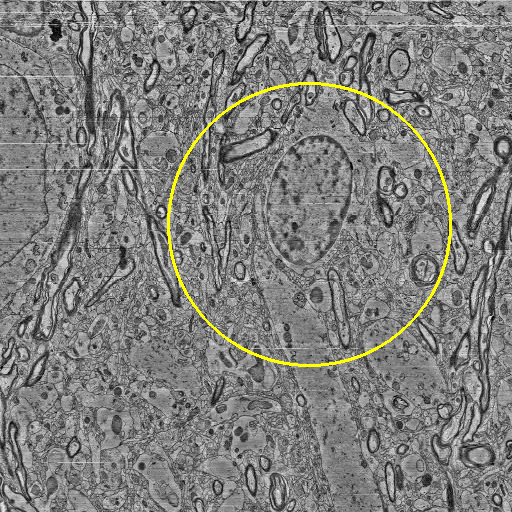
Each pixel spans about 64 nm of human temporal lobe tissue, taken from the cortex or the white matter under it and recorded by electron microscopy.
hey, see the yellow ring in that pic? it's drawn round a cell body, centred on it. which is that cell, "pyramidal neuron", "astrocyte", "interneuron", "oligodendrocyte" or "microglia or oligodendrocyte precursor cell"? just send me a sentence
The cell in the ring is a microglial cell or oligodendrocyte precursor cell.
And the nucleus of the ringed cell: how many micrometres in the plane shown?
About 8 by 5 micrometers; the nucleus is clearly longer than it is wide in this plane.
